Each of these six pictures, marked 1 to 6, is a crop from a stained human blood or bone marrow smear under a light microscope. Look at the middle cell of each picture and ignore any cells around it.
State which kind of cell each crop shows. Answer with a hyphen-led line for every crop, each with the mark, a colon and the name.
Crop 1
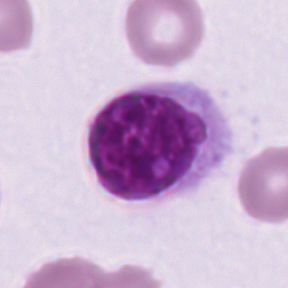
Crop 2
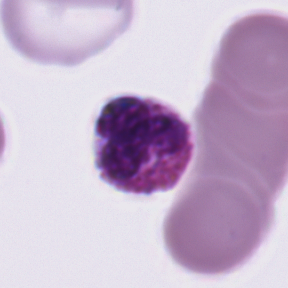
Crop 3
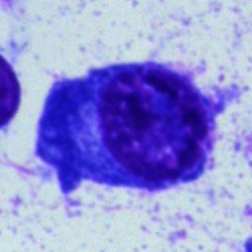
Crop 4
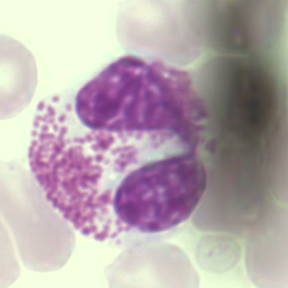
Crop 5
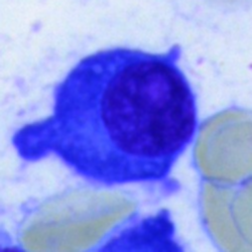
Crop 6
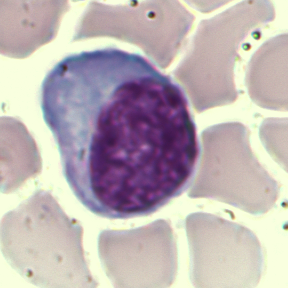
- 1: plasma cell
- 2: eosinophil
- 3: plasma cell
- 4: eosinophil
- 5: plasma cell
- 6: plasma cell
